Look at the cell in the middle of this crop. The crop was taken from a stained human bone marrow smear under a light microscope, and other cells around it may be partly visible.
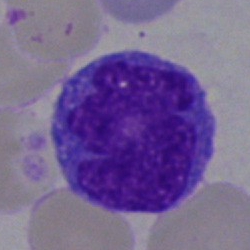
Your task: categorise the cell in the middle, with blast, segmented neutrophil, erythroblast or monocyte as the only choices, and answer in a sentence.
The middle of this crop holds a monocyte.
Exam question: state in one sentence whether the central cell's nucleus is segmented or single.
Round, oval or kidney-shaped, the nucleus is one compact mass.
